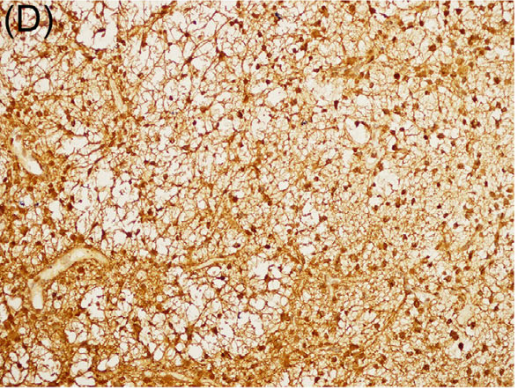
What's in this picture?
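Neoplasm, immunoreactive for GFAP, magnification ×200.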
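This is a glial tumor where the tumor cells and their fine processes are stained brown. The brown stain fills a dense meshwork of thin fibrillary processes running between the cells. Many small round clear spaces give the tissue a microcystic, lacy look. A few vessel walls show as pale tubular outlines within the brown network.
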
